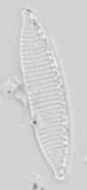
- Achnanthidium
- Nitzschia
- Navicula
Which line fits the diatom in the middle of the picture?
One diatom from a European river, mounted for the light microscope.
Nitzschia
